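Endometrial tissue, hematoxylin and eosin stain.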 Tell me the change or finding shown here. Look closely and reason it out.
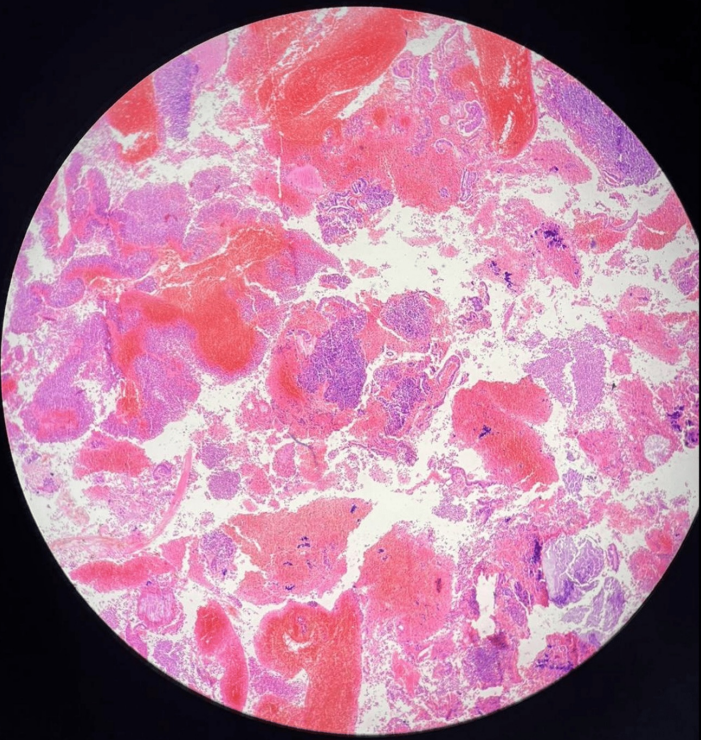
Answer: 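Hemorrhagic fibrinous material. Many fragments stain bright red to pink with few nuclei. The red fragments are mixed with scattered purple cellular fragments in a fragmented specimen.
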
